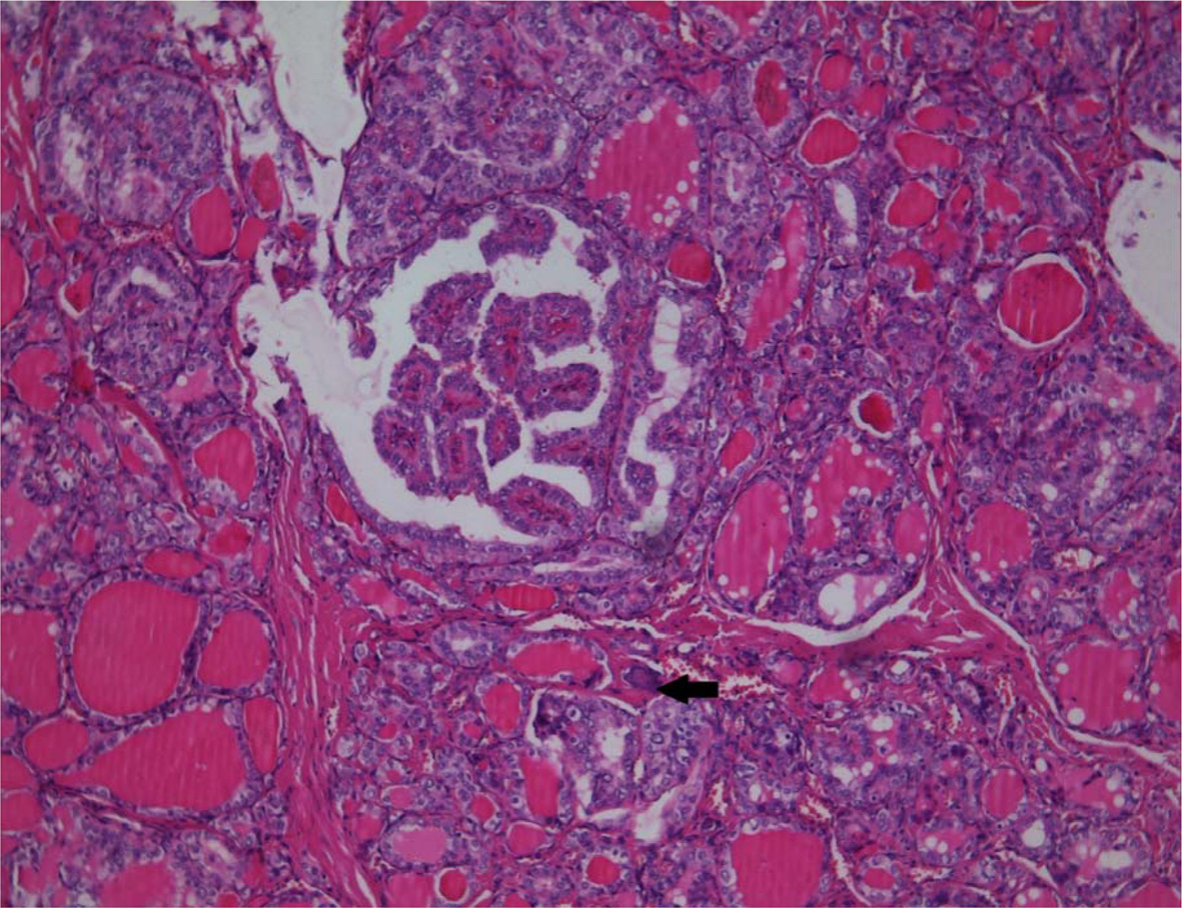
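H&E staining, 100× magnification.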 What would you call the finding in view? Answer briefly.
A: papillary thyroid carcinoma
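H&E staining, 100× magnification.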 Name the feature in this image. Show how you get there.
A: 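Papillary structures. Branching fronds project into a clear space in the upper centre. Each frond has a thin pink core lined by crowded epithelial cells.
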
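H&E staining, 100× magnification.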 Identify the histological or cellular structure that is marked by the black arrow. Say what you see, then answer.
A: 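The arrow tip touches a small, dark purple, rounded body. The body lies in the fibrous stroma between tumour follicles, beside red blood cells. So: psammomatous body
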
